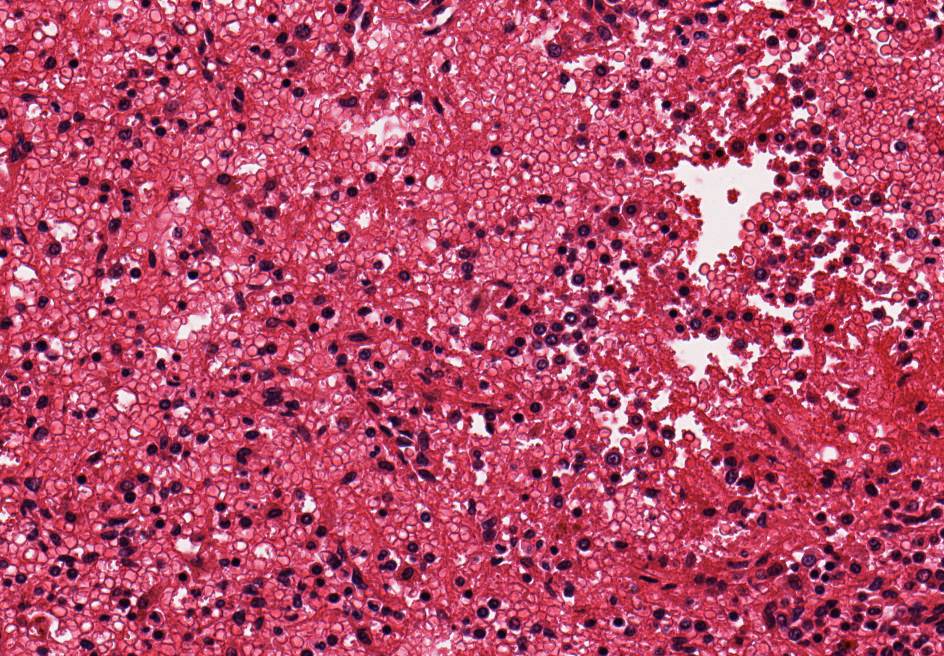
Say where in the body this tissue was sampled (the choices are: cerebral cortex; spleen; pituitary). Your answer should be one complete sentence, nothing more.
The origin of this tissue is the spleen.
